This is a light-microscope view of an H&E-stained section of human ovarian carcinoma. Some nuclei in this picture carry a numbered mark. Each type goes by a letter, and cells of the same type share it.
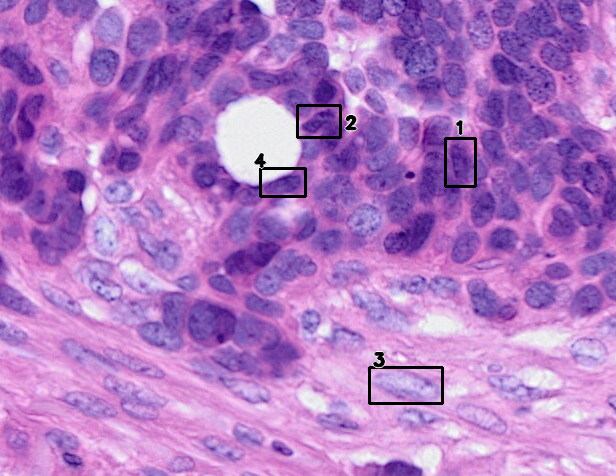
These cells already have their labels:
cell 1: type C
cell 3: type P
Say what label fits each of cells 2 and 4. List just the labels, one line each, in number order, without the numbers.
type C
type C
